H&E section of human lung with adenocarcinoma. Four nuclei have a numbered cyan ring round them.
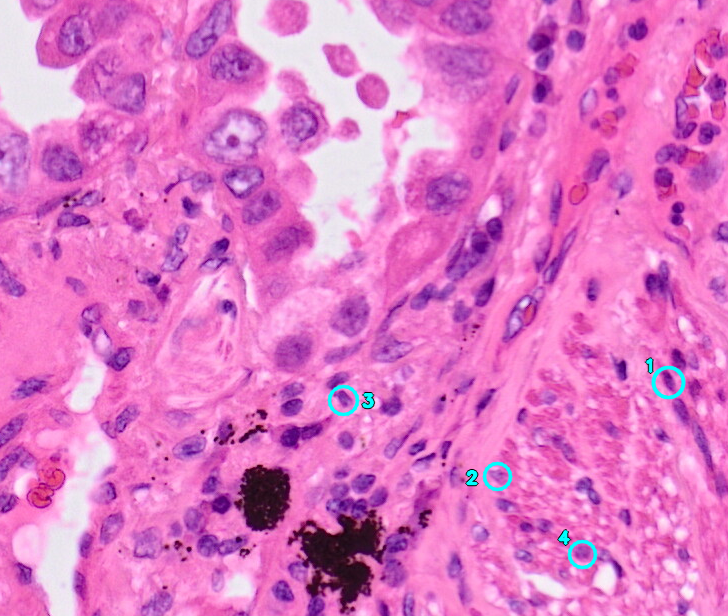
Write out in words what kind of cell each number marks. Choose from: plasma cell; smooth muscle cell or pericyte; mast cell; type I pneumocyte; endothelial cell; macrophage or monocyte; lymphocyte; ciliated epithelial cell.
Cell 1 is a smooth muscle cell or pericyte, cell 2 is a smooth muscle cell or pericyte, cell 3 is a lymphocyte and cell 4 is a smooth muscle cell or pericyte.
